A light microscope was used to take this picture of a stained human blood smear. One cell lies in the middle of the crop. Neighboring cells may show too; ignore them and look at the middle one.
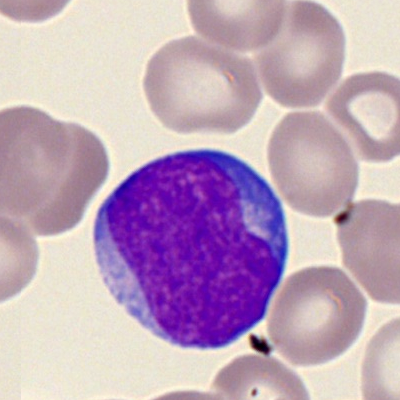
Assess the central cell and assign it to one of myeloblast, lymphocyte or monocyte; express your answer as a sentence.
The centrally placed cell is classified as a myeloblast.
